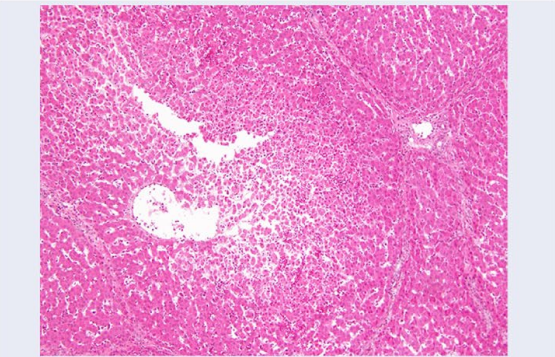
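This section of liver shows hepatocyte plates that have lost their regular arrangement, with areas of necrosis. Around the irregular central vessels the tissue is pale and loosened, and the cells there appear separated and disrupted. The radial cords of hepatocytes seen in a normal lobule are hard to follow across most of the field. Pale connective tissue septa still cross the section towards the right. The cytoplasm of many cells is paler and more uneven in its pink staining than in well preserved liver.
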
